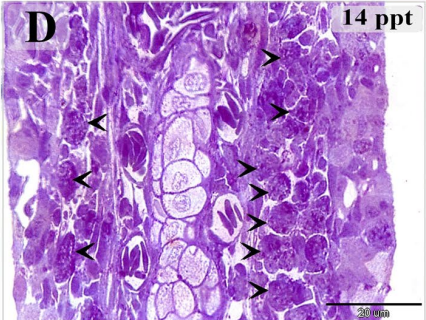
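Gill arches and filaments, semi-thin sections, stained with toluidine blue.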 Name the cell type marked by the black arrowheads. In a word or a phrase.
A: Rodlet cells.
